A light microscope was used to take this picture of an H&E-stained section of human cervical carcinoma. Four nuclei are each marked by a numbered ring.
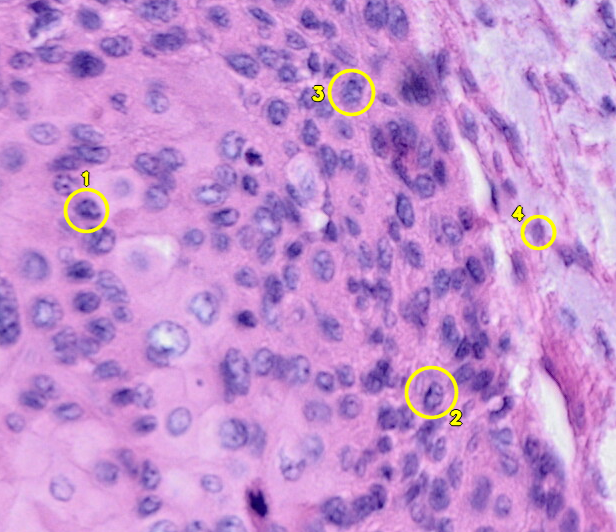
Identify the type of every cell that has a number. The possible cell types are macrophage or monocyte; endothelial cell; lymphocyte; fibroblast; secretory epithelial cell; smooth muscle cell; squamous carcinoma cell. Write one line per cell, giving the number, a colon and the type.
1: squamous carcinoma cell
2: squamous carcinoma cell
3: squamous carcinoma cell
4: fibroblast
